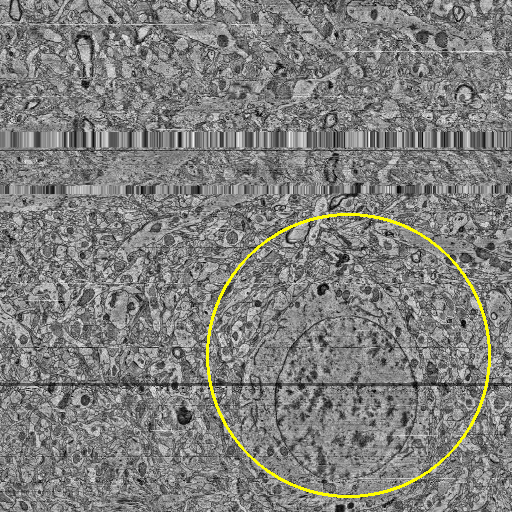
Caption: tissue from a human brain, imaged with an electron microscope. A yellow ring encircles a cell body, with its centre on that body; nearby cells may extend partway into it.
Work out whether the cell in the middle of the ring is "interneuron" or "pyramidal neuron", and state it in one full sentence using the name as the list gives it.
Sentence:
In the picture, the cell that the yellow ring surrounds at its centre is a pyramidal neuron.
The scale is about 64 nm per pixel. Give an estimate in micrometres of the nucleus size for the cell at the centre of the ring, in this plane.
The ringed cell's nucleus measures approximately 11 by 9 micrometres in this plane.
